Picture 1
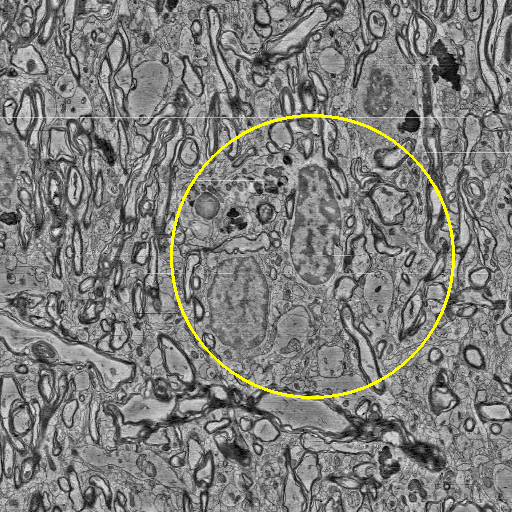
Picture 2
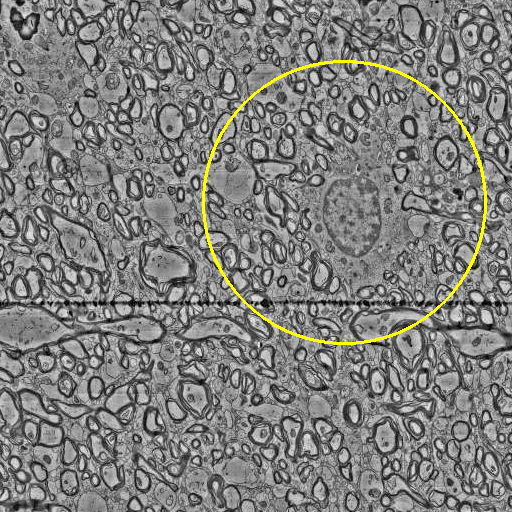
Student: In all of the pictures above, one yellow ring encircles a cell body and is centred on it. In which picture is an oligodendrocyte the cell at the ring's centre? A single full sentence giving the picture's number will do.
Picture number 2 has the wanted cell right at the centre of its ring.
